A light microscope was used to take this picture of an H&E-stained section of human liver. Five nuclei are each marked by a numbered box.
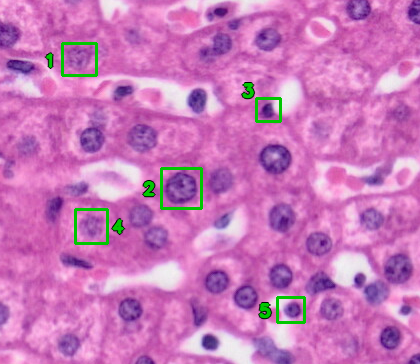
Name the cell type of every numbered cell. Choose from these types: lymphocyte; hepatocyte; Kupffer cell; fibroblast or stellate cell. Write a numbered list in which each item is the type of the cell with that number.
1. hepatocyte
2. hepatocyte
3. fibroblast or stellate cell
4. hepatocyte
5. lymphocyte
